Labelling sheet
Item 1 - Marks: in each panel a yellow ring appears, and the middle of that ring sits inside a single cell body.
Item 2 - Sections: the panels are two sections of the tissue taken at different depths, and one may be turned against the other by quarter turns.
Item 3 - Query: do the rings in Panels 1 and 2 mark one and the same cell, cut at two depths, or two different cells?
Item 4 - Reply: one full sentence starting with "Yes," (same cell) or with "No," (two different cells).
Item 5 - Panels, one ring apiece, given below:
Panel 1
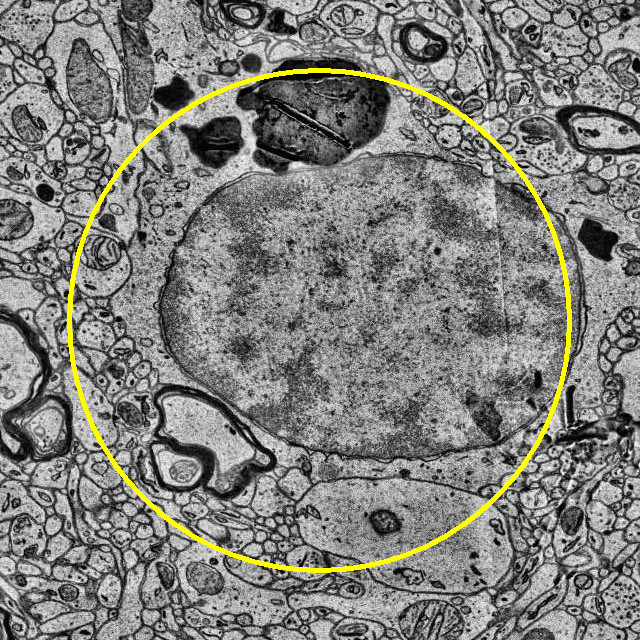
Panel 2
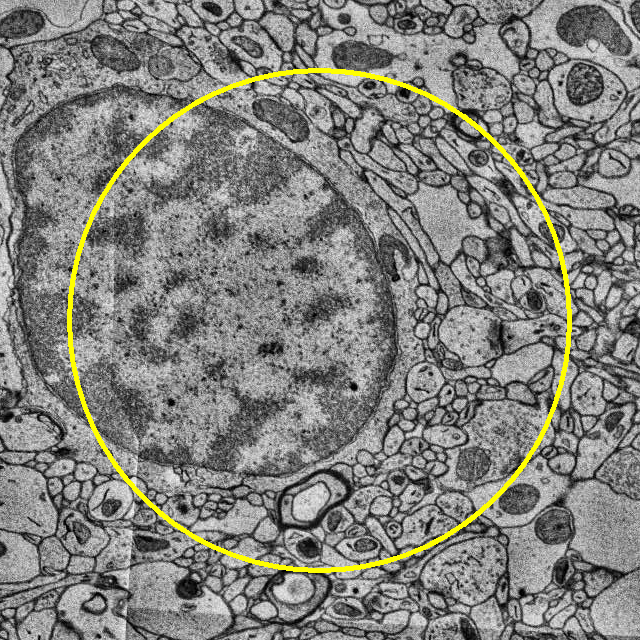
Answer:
No, the rings mark two cells rather than a single cell.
